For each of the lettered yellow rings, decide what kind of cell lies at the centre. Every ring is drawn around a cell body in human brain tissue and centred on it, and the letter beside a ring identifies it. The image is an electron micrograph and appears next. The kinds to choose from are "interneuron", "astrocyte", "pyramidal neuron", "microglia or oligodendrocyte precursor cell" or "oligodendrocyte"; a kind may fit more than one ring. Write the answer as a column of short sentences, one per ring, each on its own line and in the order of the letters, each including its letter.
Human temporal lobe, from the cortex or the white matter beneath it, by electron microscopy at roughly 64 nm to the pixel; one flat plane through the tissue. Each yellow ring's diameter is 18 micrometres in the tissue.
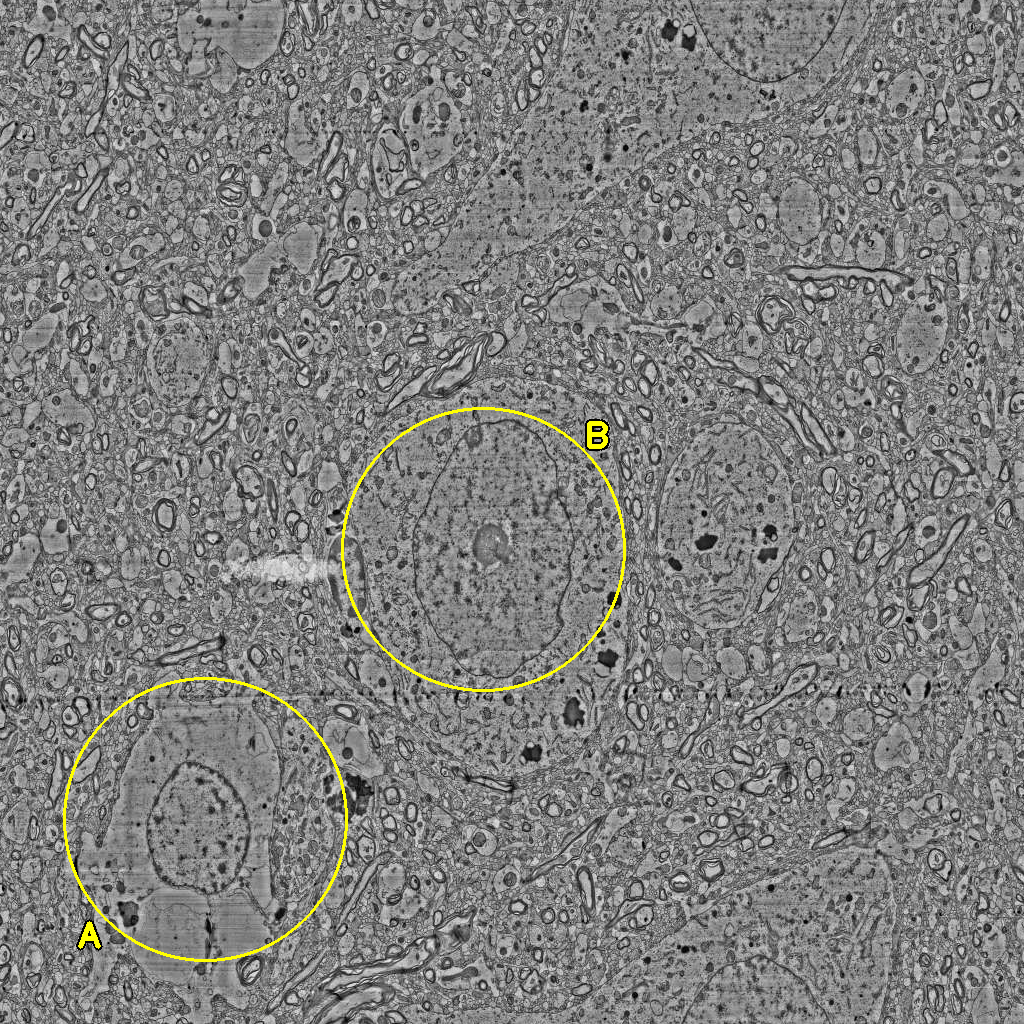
In the centre of ring A lies an astrocyte.
In the centre of ring B lies a pyramidal neuron.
